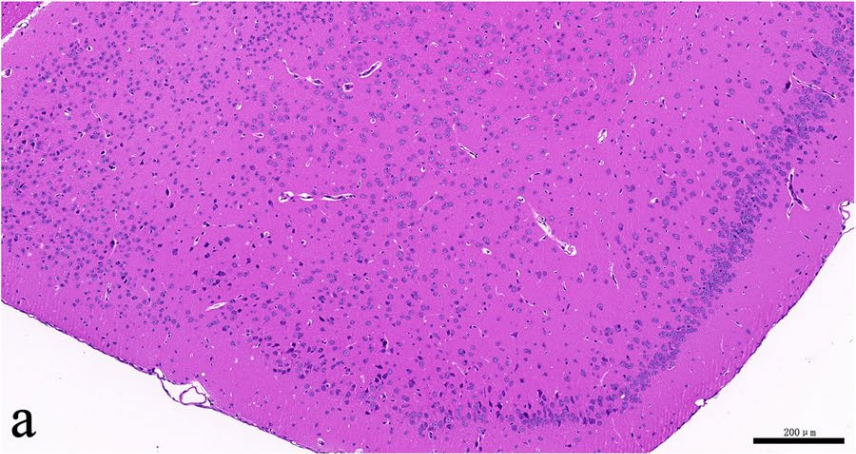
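Brain tissue stained with hematoxylin and eosin, showing neurons scattered through evenly pink neuropil. Along one side a dense curved band of tightly packed, darker nuclei forms a distinct cell layer. Thin-walled small blood vessels appear as narrow clear slits and channels running through the tissue. The tissue is compact, without large clear spaces or pale areas, and the surface at the edge is smooth with a thin covering membrane.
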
